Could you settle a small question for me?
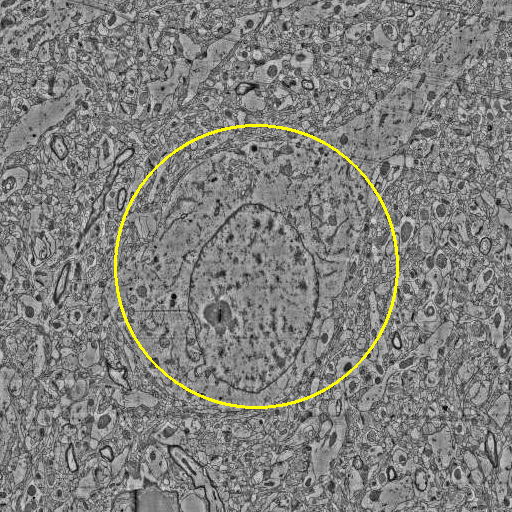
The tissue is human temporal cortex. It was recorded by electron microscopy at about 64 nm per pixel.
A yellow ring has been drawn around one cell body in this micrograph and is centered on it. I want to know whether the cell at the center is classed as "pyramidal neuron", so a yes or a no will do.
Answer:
yes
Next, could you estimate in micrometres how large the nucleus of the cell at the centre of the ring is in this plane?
In this plane the nucleus is about 12 micrometres by 9.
